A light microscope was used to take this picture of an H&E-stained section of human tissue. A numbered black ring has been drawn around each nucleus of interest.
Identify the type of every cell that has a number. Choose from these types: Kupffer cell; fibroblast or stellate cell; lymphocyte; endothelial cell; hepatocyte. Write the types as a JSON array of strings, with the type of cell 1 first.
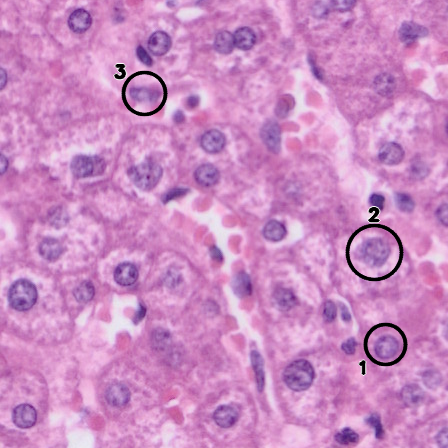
["hepatocyte", "hepatocyte", "Kupffer cell"]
